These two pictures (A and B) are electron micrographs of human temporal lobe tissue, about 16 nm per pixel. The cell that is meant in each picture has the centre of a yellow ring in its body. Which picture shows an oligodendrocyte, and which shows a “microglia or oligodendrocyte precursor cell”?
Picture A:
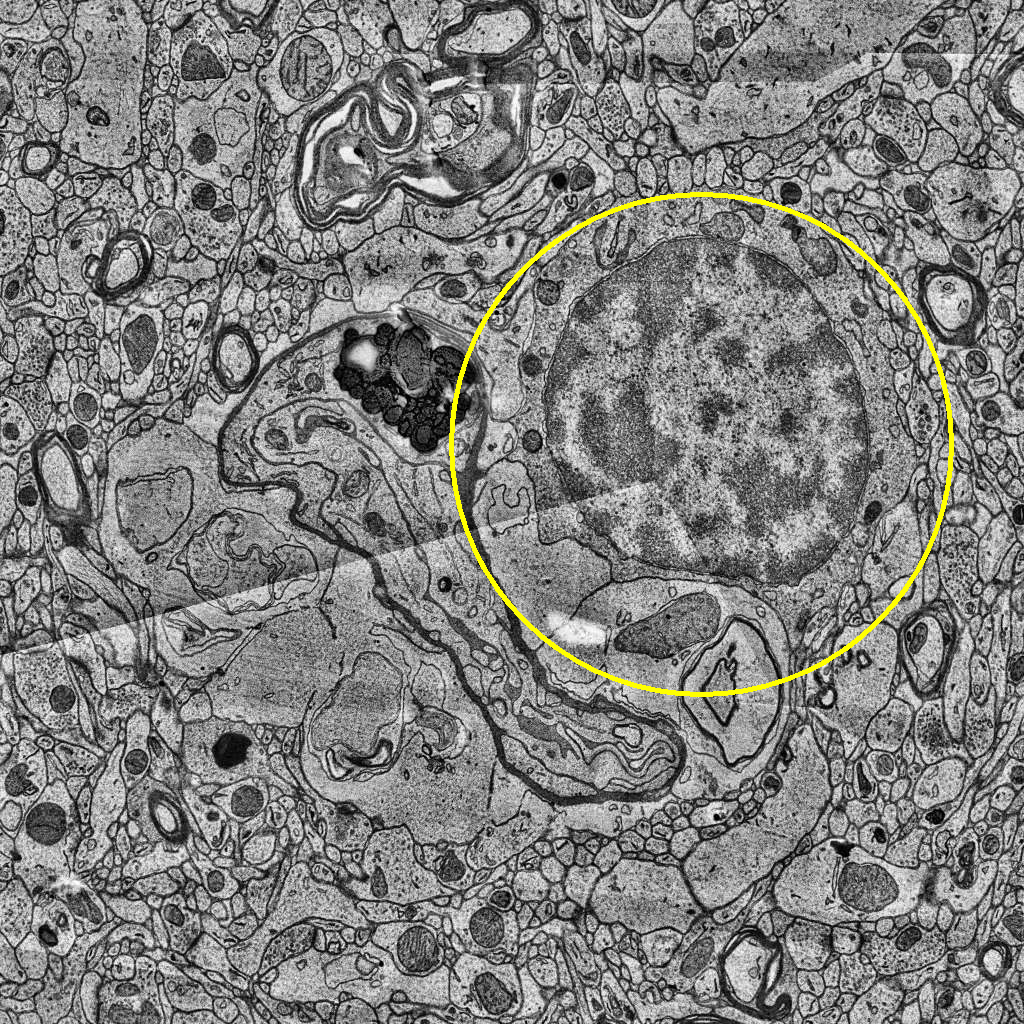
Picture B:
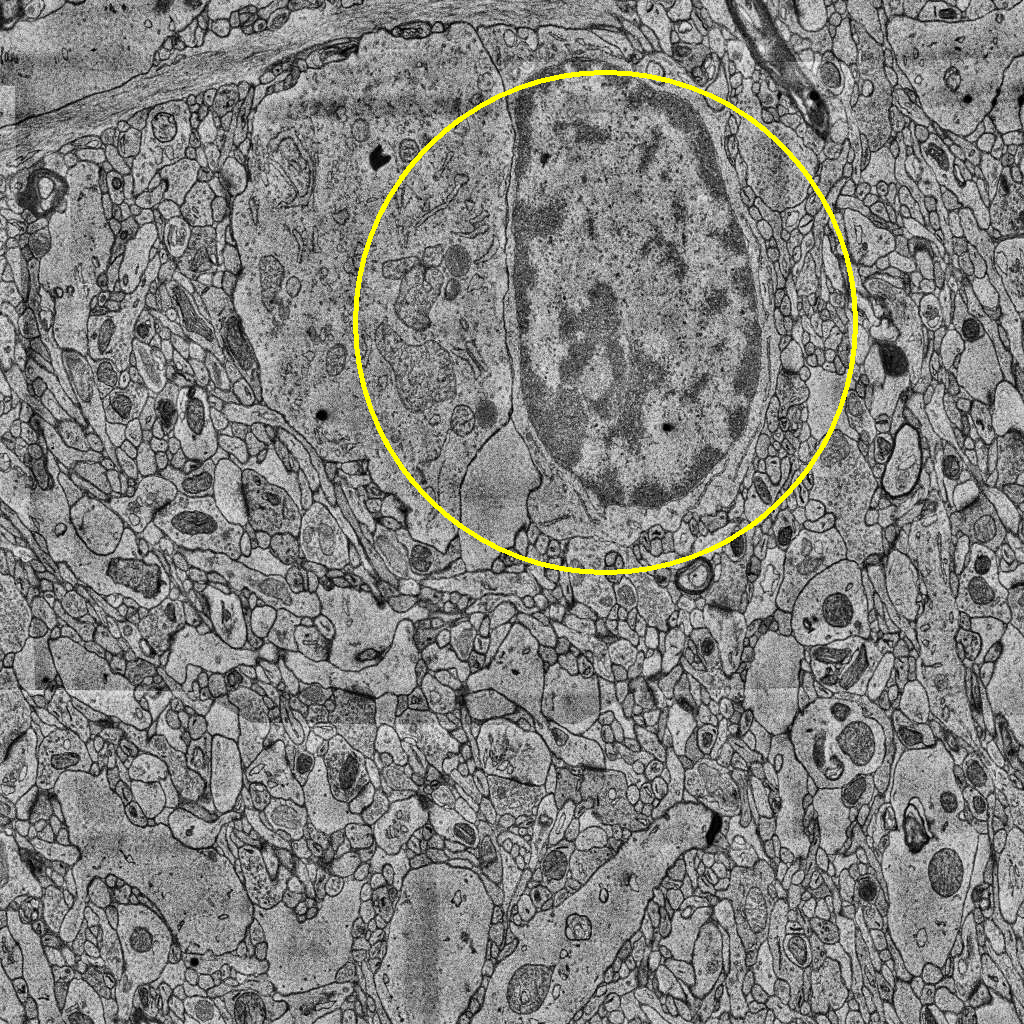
In picture A the cell is an oligodendrocyte; in picture B, a “microglia or oligodendrocyte precursor cell”.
